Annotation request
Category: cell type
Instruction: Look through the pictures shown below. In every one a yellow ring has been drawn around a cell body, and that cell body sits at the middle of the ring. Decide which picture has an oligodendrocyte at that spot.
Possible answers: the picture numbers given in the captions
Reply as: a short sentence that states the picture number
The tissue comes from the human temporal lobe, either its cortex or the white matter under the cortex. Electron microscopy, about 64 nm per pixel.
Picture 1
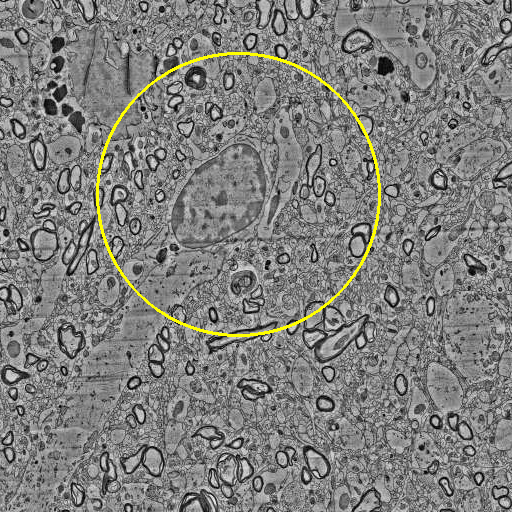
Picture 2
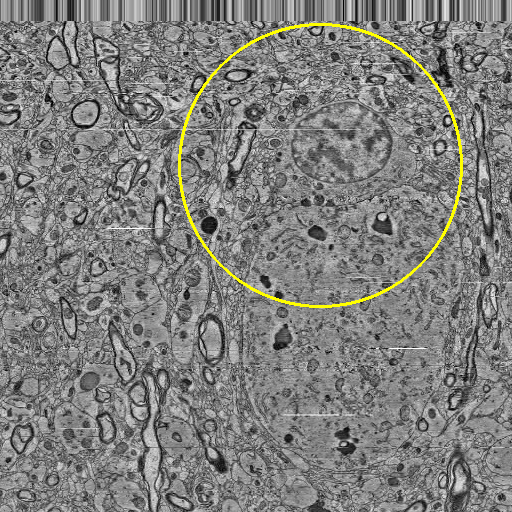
It is in Picture 2.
